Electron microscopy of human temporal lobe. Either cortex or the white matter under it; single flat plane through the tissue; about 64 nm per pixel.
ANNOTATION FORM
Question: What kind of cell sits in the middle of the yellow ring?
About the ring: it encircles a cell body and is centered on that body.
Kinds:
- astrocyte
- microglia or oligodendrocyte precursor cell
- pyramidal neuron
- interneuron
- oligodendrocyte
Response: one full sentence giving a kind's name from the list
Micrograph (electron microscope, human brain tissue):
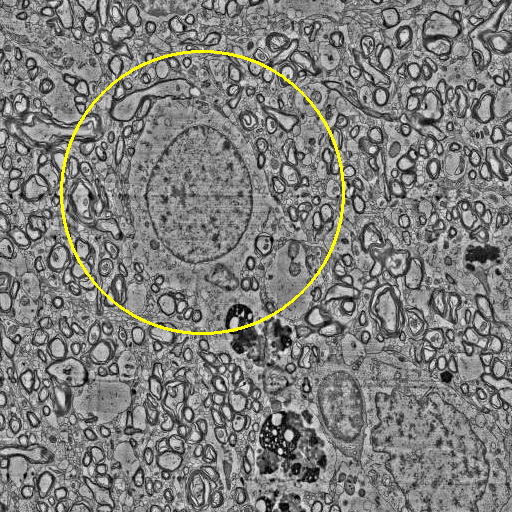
The kind of cell found at the center of the yellow ring in the micrograph is an astrocyte.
